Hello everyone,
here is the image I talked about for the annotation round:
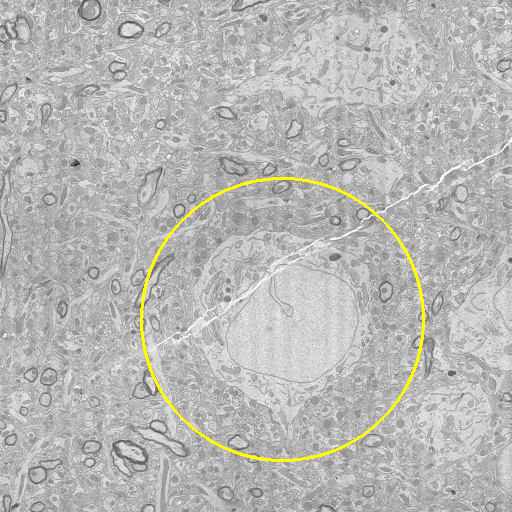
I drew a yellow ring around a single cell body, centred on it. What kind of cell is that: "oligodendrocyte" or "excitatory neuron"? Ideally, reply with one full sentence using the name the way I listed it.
The cell your yellow ring is centred on is an excitatory neuron, going by your list.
